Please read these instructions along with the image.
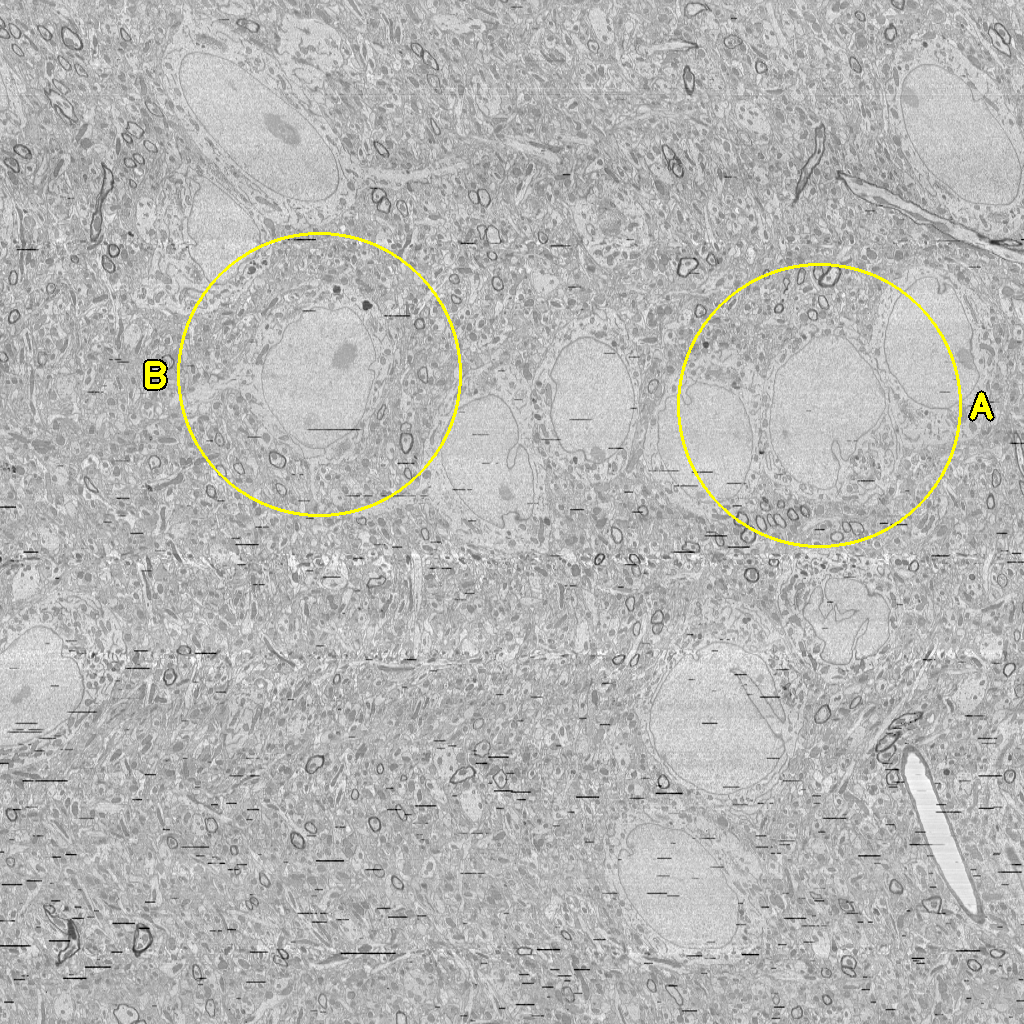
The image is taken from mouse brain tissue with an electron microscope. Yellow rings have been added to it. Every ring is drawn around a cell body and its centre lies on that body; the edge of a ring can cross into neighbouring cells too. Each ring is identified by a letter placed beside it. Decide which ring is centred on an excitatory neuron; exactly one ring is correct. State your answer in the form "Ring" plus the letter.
Ring B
